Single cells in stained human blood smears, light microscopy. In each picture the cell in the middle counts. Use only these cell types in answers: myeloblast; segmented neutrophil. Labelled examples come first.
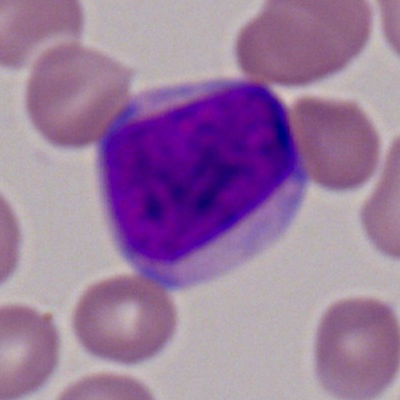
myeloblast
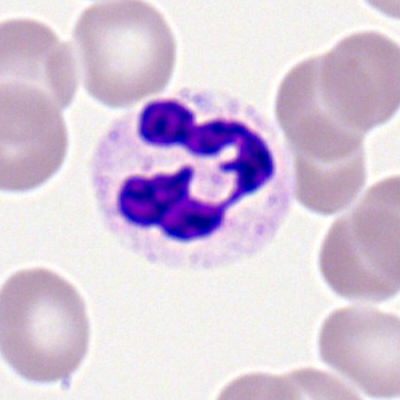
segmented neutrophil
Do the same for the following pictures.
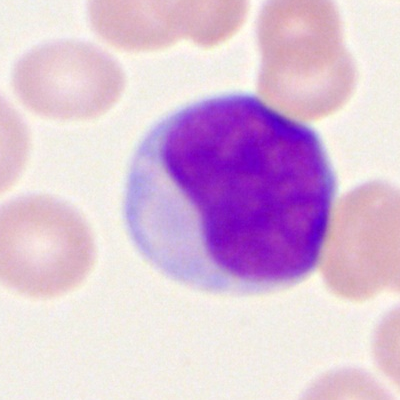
myeloblast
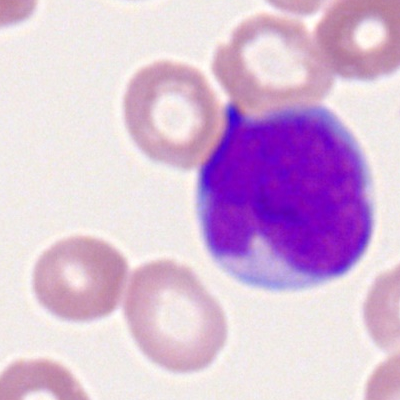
myeloblast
